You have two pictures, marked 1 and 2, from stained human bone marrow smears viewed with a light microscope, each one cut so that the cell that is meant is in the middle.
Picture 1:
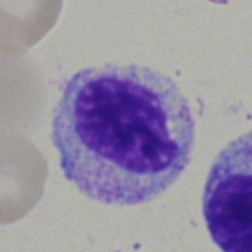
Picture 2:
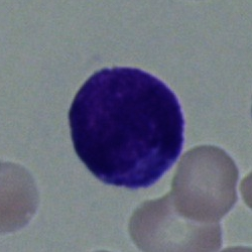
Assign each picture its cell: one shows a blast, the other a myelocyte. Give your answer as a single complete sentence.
Picture 1 is of a myelocyte, and picture 2 is of a blast.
